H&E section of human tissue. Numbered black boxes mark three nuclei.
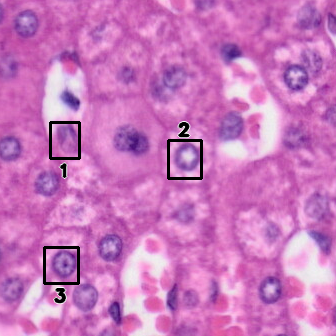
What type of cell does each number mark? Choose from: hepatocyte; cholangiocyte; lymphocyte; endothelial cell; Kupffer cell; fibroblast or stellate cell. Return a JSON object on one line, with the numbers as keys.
{"1": "Kupffer cell", "2": "hepatocyte", "3": "hepatocyte"}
